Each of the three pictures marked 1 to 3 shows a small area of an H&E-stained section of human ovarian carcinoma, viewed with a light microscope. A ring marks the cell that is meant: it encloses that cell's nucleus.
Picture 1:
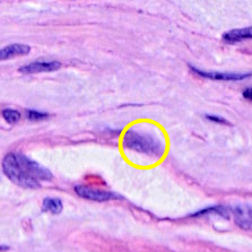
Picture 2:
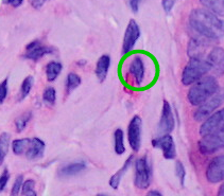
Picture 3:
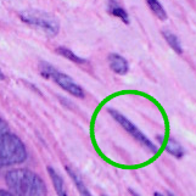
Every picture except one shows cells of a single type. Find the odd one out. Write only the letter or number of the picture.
3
